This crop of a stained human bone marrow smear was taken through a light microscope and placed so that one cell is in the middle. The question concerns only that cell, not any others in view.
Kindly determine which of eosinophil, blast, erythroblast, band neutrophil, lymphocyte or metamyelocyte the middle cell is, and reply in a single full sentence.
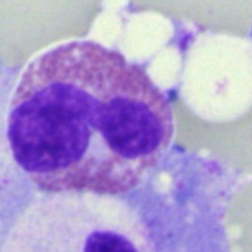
Within this crop, an eosinophil occupies the central position.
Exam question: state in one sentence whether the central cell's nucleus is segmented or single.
If you check the nucleus, you will find one compact mass, round, oval or kidney-shaped.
